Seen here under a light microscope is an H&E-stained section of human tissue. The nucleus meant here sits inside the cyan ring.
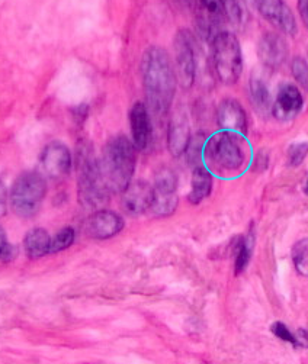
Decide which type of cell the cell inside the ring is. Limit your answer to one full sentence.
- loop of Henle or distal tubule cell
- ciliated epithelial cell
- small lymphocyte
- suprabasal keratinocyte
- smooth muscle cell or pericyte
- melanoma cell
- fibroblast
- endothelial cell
In terms of identity, the cell inside the ring is a ciliated epithelial cell.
